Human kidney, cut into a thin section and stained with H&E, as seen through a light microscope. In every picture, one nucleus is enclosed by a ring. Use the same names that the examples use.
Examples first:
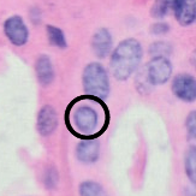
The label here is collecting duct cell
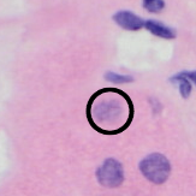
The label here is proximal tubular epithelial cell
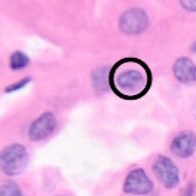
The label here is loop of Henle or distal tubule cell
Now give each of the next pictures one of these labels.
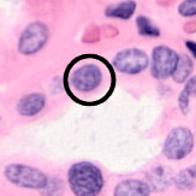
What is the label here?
collecting duct cell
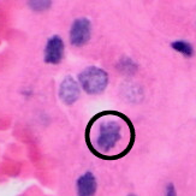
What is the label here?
loop of Henle or distal tubule cell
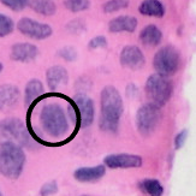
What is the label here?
collecting duct cell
